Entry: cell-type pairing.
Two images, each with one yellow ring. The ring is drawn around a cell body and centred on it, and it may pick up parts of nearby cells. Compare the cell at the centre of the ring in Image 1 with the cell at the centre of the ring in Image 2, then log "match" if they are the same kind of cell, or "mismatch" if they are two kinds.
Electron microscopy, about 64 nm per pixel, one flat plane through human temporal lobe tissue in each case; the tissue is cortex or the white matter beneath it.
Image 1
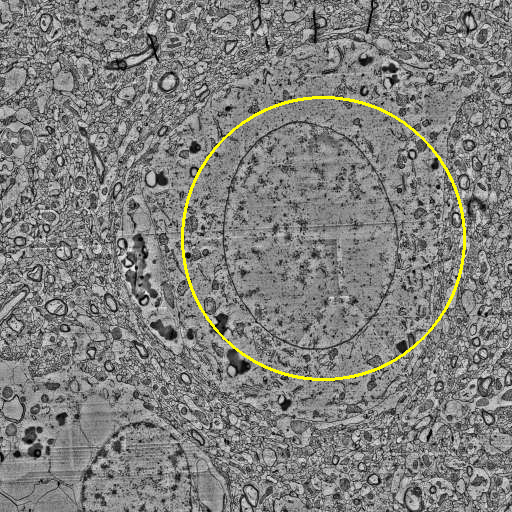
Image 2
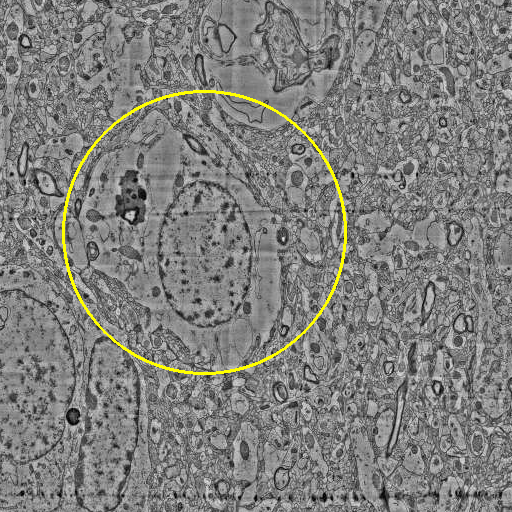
mismatch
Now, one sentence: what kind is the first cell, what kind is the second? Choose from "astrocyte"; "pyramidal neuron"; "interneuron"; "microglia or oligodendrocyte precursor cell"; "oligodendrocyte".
The first picture has a pyramidal neuron at its ring centre, and the second has an astrocyte.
